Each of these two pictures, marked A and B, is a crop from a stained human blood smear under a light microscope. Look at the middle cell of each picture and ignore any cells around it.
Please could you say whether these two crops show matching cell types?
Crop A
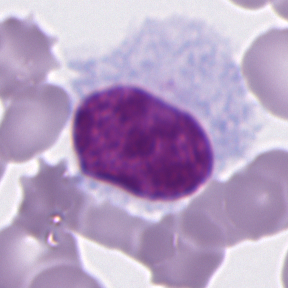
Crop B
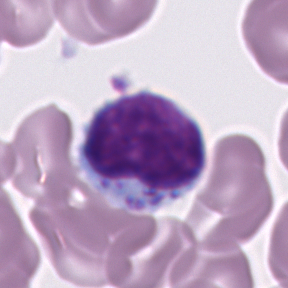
no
